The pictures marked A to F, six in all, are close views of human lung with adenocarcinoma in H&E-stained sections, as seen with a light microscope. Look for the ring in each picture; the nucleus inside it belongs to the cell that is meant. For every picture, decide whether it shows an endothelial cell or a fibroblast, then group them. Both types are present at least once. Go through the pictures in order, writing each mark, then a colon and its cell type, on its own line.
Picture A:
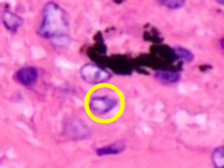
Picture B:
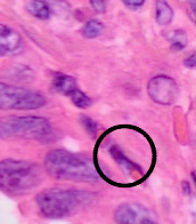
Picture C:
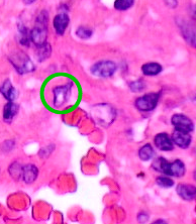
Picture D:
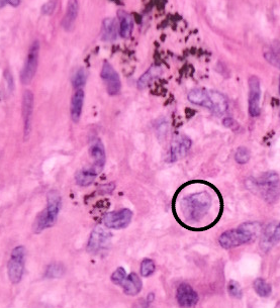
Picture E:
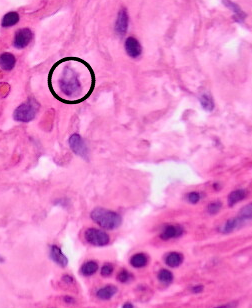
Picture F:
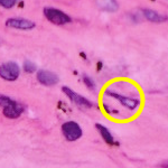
A: fibroblast
B: endothelial cell
C: endothelial cell
D: fibroblast
E: fibroblast
F: fibroblast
